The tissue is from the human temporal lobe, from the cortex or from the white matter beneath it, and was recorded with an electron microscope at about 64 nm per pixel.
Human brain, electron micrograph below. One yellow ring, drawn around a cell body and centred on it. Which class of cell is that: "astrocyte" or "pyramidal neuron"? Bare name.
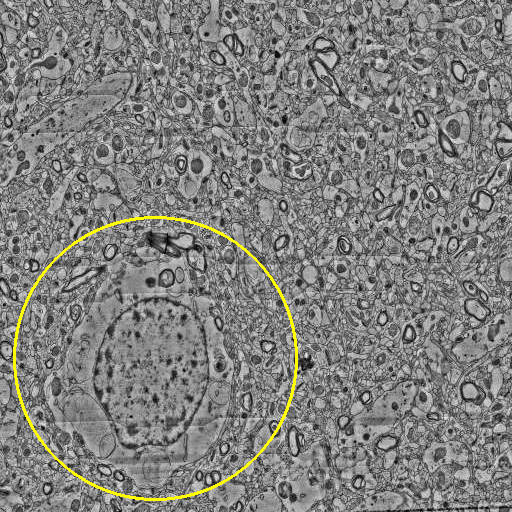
astrocyte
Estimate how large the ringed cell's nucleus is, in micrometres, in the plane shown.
In this plane, the nucleus is roughly 10 by 7 micrometres.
